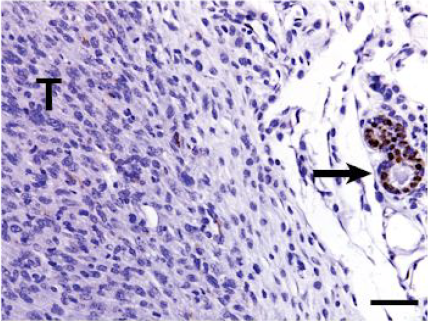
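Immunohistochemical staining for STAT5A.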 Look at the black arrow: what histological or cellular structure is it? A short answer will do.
Adjacent glands.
